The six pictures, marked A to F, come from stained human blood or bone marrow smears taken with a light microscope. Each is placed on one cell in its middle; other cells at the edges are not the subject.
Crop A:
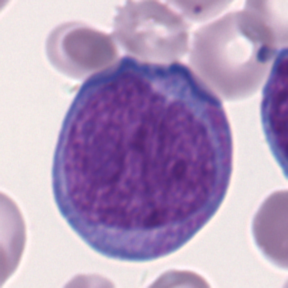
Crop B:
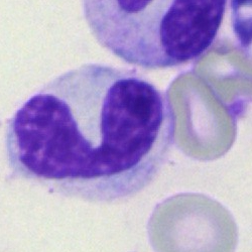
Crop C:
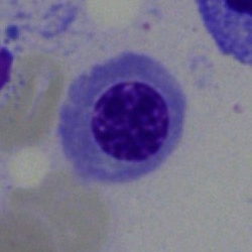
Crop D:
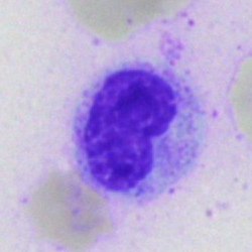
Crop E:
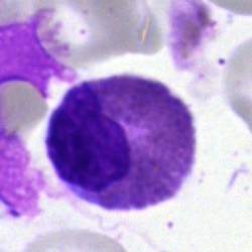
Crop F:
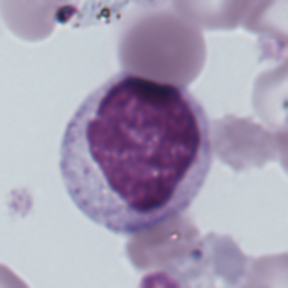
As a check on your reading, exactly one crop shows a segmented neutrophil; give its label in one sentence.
Crop B is the one to choose: it shows a segmented neutrophil.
